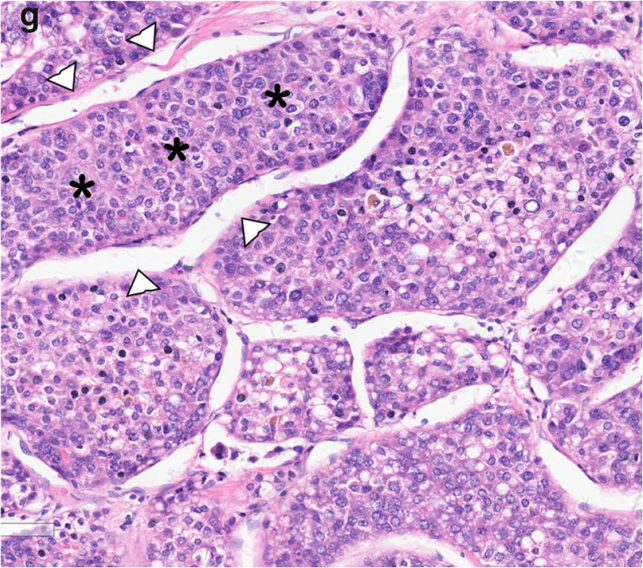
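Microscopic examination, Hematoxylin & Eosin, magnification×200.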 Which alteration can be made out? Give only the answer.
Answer: macrotrabecular architectural pattern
